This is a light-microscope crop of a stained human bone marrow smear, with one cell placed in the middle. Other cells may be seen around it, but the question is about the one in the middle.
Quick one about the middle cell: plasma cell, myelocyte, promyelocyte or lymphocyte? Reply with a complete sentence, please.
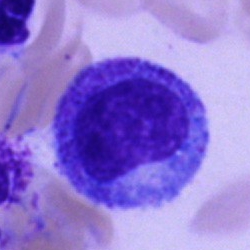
The cell in the middle of this crop is a promyelocyte.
